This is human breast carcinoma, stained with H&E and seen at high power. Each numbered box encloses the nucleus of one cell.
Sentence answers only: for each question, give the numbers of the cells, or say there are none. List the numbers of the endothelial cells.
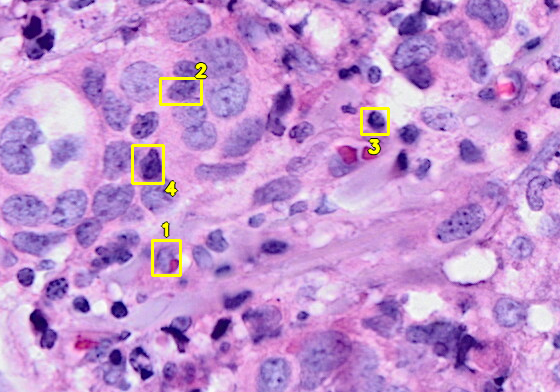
Cell 1 is an endothelial cell, and it is the only one.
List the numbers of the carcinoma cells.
The cells with numbers 2 and 4 are carcinoma cells by type.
